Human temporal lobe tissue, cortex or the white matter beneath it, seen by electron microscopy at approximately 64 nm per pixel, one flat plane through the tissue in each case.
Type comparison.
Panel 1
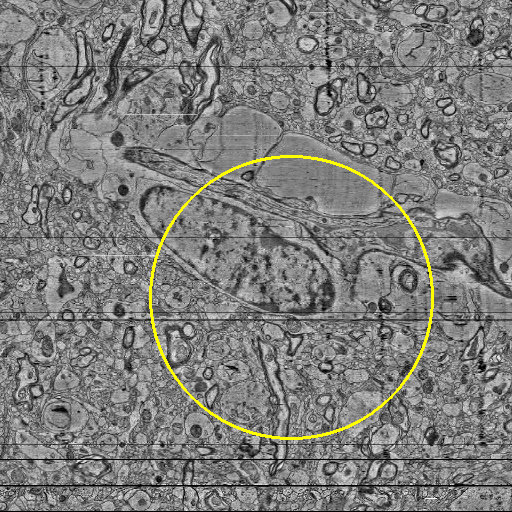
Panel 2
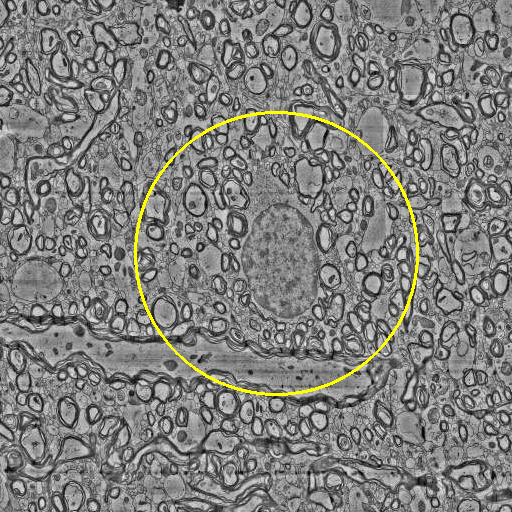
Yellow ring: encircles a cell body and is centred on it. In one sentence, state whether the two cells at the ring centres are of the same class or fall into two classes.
In these panels, the two cells at the ring centres fall into two classes.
